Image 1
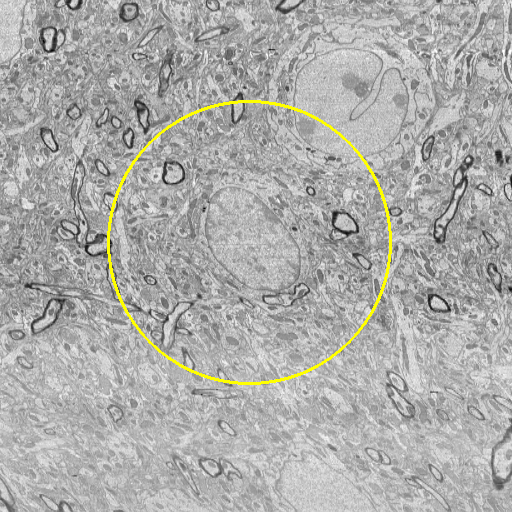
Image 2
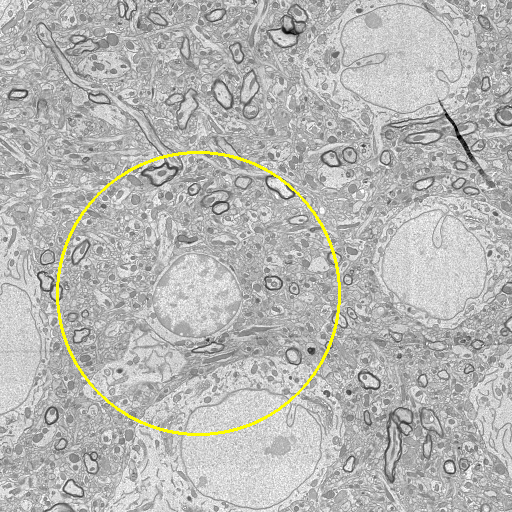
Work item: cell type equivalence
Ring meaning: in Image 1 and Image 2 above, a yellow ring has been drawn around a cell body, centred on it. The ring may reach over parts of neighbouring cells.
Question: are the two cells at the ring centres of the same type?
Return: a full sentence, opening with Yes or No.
Yes, the two centred cells are of the same type.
